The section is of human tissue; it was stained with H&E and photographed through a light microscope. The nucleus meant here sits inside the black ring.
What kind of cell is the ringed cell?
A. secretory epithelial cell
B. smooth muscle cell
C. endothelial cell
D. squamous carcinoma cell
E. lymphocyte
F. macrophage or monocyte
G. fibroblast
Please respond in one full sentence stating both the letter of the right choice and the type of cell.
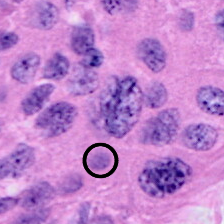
In this section the ringed cell is a squamous carcinoma cell; option D is therefore correct.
